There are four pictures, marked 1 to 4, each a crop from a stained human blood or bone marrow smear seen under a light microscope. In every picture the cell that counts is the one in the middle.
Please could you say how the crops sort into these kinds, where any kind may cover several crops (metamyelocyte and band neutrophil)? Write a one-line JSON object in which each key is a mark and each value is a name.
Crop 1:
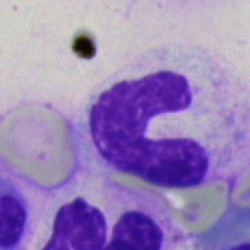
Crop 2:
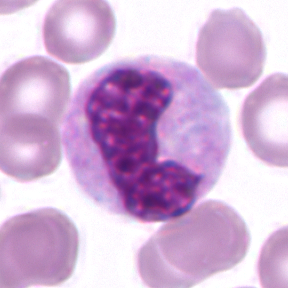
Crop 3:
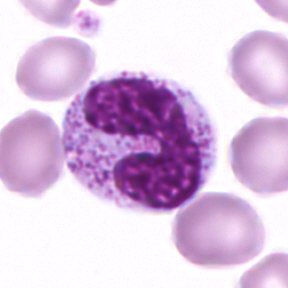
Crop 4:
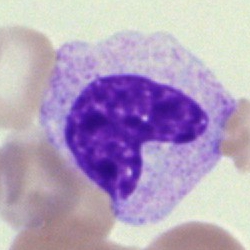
{"1": "band neutrophil", "2": "band neutrophil", "3": "band neutrophil", "4": "metamyelocyte"}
